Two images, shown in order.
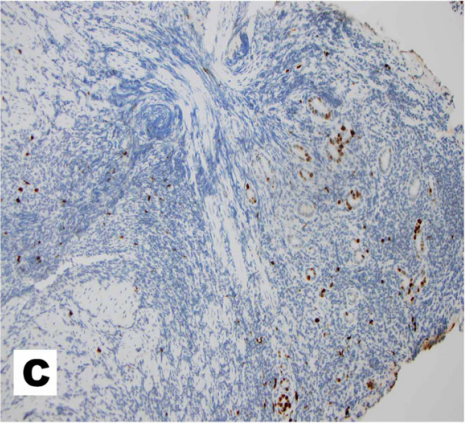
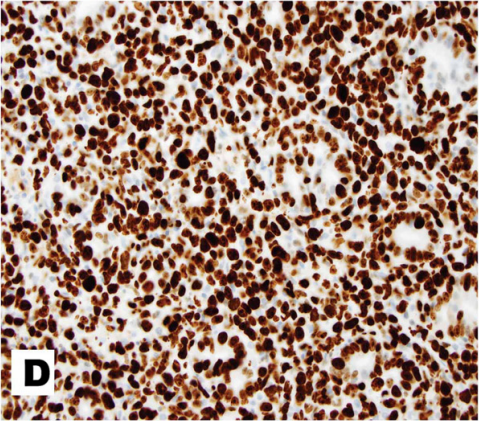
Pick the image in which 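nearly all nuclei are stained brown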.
The second image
